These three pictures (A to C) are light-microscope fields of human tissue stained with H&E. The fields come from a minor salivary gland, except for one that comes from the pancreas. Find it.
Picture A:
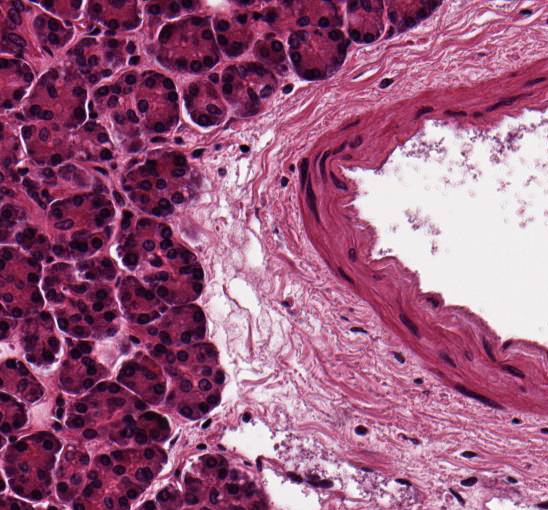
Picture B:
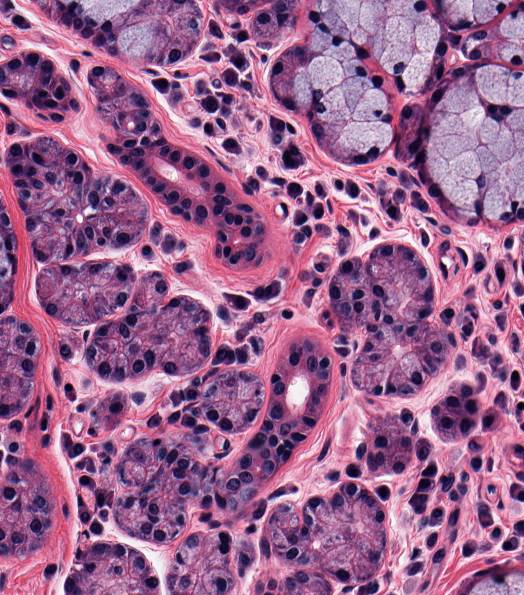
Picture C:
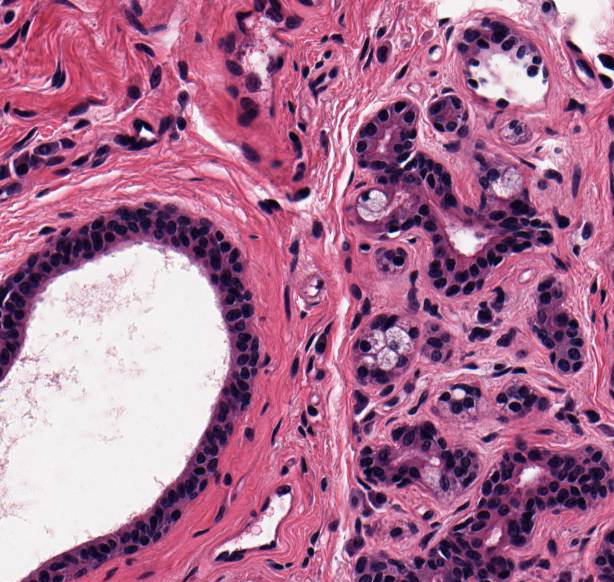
A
